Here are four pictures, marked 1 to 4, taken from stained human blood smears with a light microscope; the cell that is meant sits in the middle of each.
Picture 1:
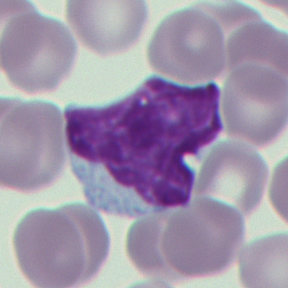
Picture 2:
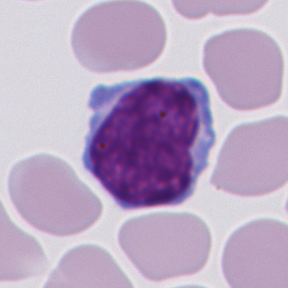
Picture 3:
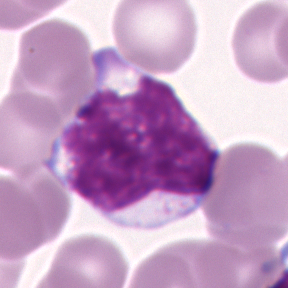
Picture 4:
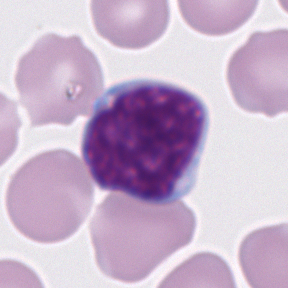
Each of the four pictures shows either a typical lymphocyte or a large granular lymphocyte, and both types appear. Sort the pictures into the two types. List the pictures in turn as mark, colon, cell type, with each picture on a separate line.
1: typical lymphocyte
2: typical lymphocyte
3: large granular lymphocyte
4: typical lymphocyte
